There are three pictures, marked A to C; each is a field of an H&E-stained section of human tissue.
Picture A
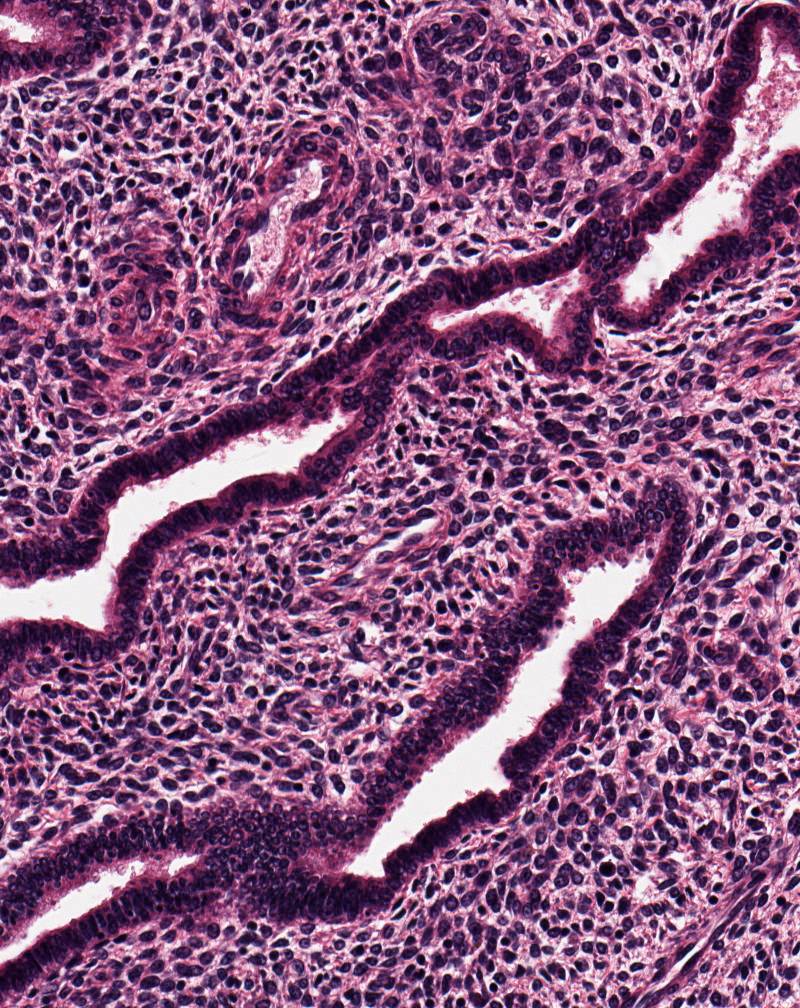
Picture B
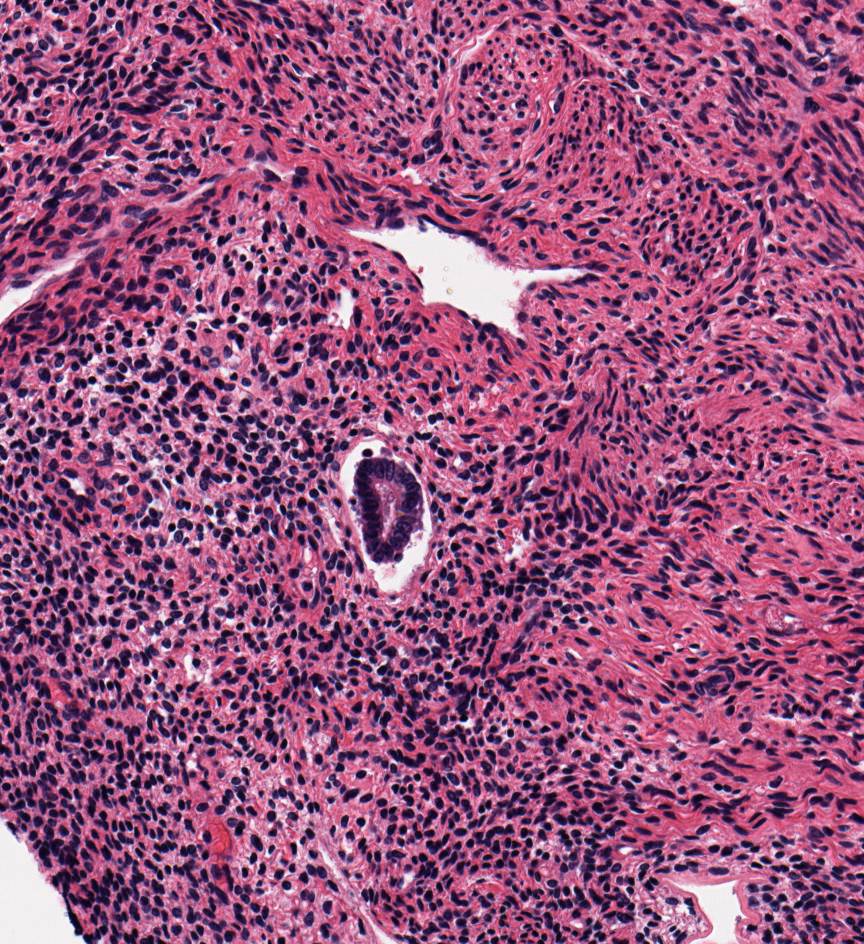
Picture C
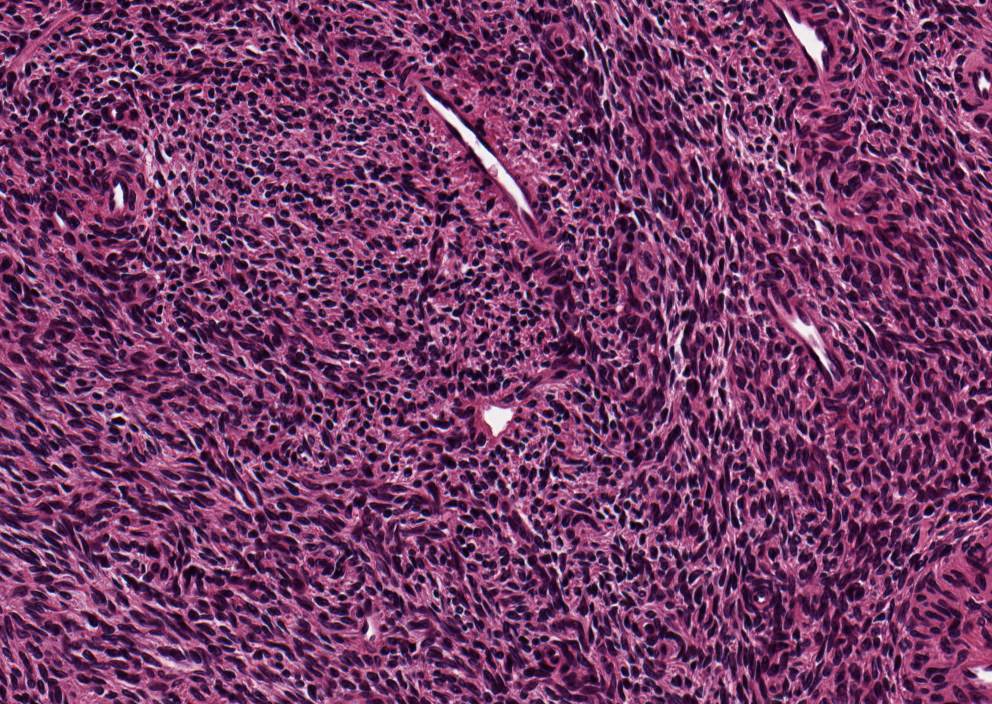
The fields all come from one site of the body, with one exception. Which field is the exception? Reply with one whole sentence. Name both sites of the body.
All pictures except C come from the body of the uterus; picture C comes from the ovary.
